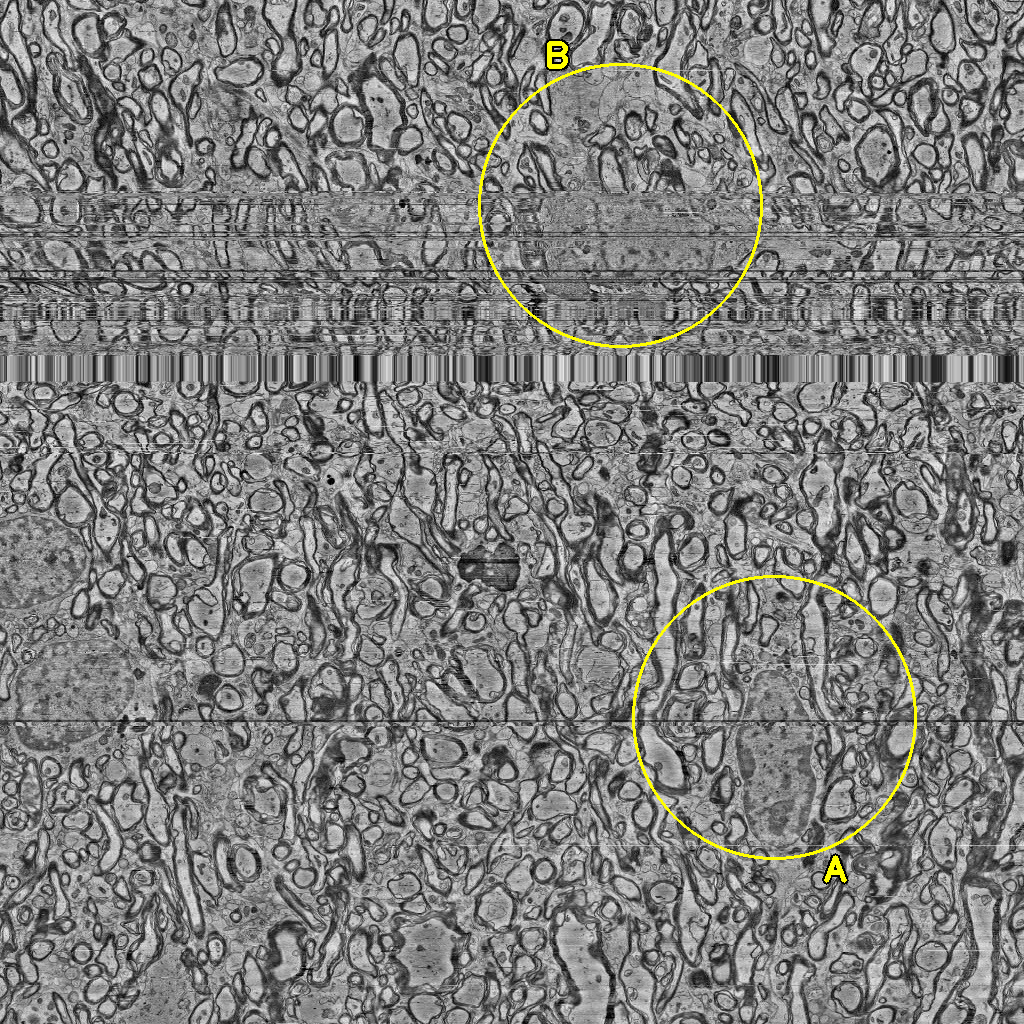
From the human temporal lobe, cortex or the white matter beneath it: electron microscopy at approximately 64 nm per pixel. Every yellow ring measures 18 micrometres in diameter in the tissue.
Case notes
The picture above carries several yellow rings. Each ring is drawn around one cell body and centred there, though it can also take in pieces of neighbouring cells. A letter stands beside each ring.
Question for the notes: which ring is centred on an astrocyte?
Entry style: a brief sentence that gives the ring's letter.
Ring B is centred on it.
